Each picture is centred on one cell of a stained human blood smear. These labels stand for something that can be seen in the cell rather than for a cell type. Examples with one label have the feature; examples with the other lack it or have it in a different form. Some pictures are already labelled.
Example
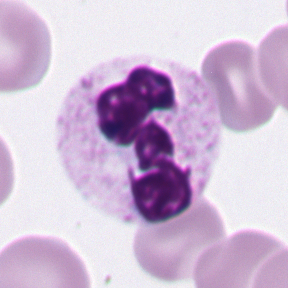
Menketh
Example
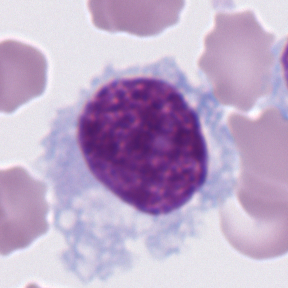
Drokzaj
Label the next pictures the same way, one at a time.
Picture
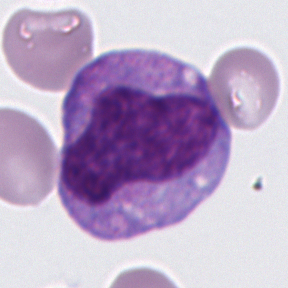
Drokzaj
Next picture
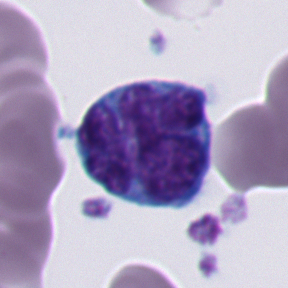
Menketh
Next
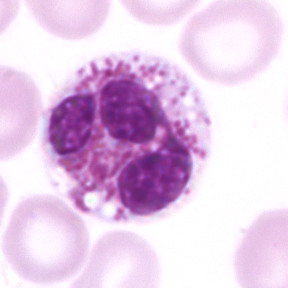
Drokzaj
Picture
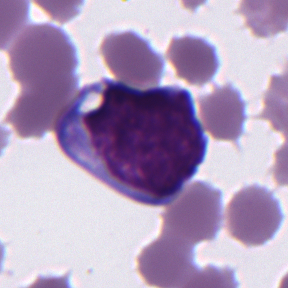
Drokzaj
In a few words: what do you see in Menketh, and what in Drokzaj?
Seen in Menketh: no vacuoles; seen in Drokzaj: vacuoles present.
